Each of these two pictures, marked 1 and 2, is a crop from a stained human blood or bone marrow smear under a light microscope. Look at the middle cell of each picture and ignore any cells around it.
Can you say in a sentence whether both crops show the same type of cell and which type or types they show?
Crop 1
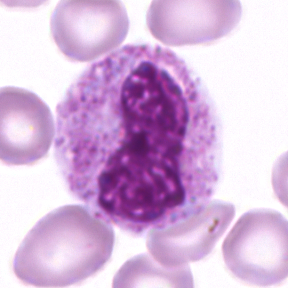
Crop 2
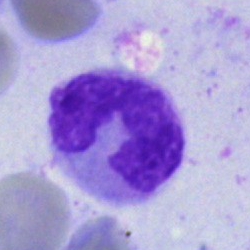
No, crop 1 is the one with a metamyelocyte; crop 2 has a band neutrophil.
